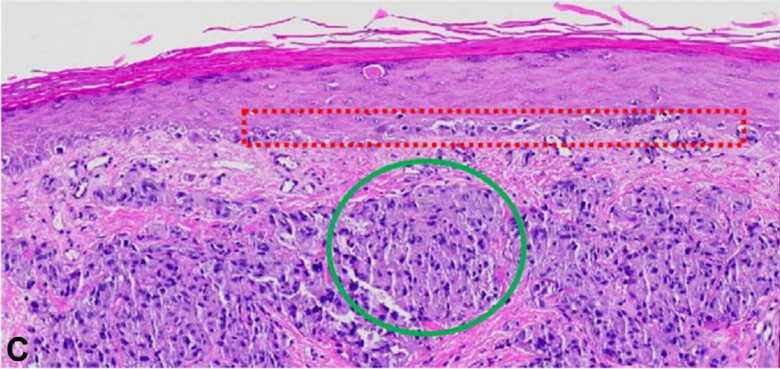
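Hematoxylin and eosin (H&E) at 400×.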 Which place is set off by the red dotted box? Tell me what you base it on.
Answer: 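The box lies along the lower edge of the pink epidermis. Below the box lies fibrous dermis with cell clusters. The answer: dermal-epidermal junction.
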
